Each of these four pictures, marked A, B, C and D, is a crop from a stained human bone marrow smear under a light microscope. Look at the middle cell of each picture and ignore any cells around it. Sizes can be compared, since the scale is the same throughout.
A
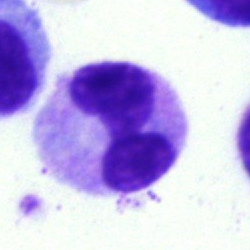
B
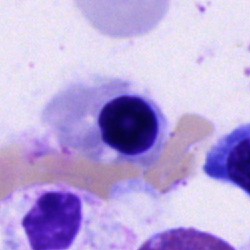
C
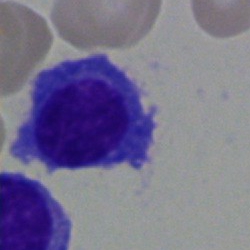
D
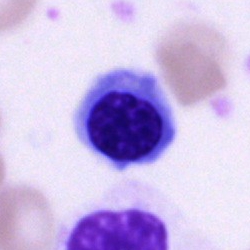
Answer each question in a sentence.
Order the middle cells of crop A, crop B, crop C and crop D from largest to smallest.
The order is A, C, D, B, beginning with the largest.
